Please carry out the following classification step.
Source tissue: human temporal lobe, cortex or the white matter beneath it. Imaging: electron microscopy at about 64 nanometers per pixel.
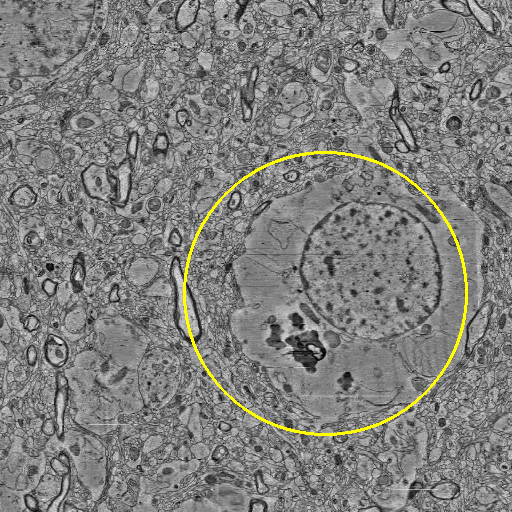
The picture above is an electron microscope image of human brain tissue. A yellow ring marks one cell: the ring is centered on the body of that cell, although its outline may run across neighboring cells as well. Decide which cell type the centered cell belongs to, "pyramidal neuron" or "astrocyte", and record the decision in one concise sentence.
The cell centered in the yellow ring is an astrocyte.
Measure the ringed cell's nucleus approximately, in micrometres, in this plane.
In this plane, approximately 9 micrometres across.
